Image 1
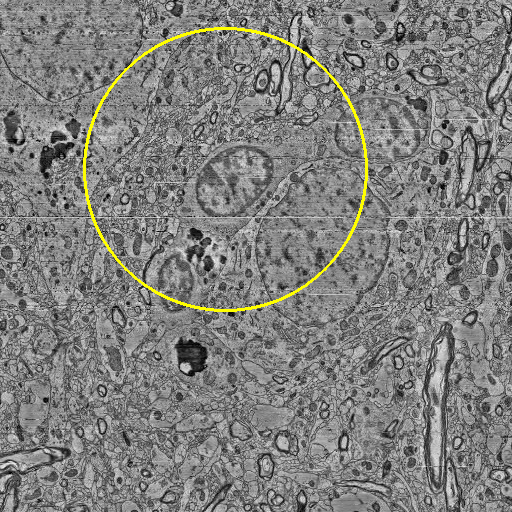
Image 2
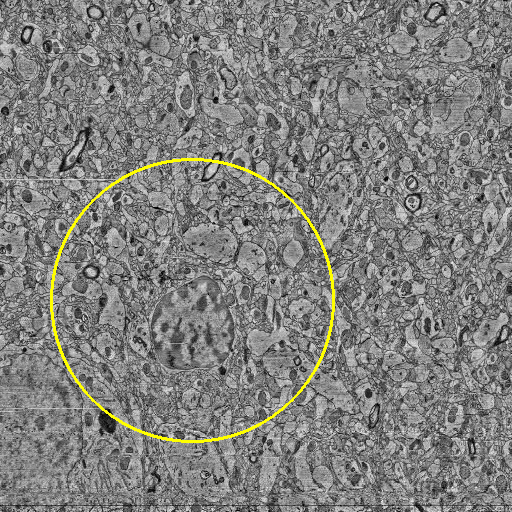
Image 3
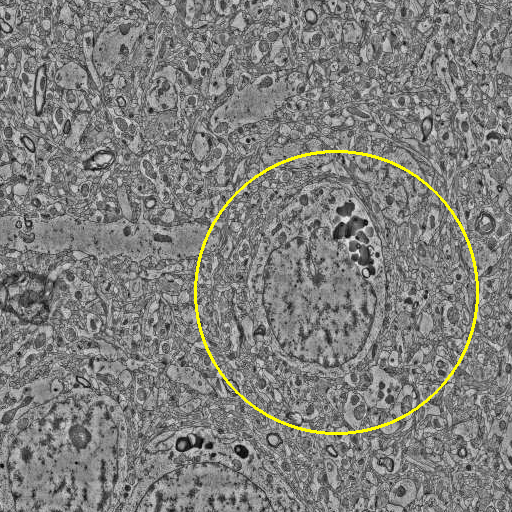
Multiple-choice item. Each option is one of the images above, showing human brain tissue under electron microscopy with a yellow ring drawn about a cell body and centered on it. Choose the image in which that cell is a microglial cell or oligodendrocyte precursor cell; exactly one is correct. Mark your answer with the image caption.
Image 2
